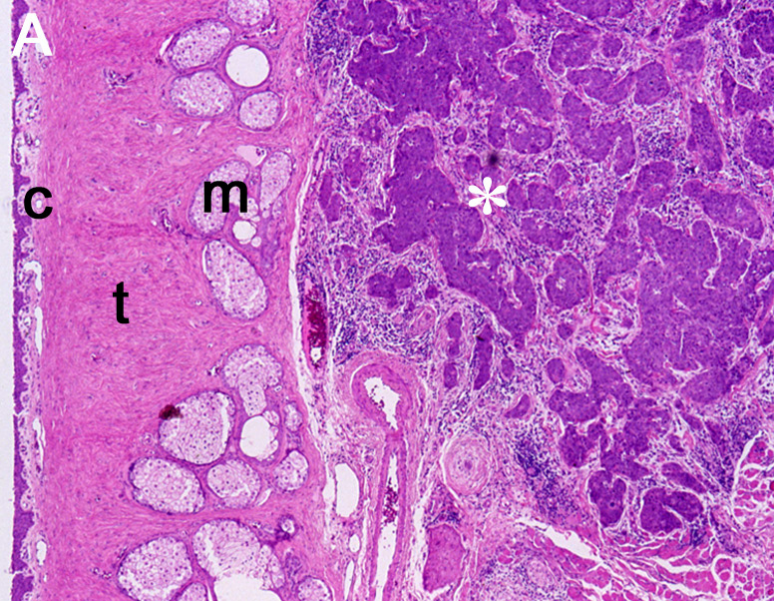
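This low-power view of the eyelid shows a thin purple epithelial lining at the left edge, then a broad band of dense pink fibrous tissue containing rounded lobules of pale, foamy glandular cells. These are the conjunctiva, the tarsus and the meibomian gland lobules. To the right, numerous irregular, dark purple, densely cellular lobules are separated by looser, paler stroma with scattered blood vessels. Skeletal muscle fibres are seen at the lower right edge. The dark lobules are tumor lobules of invasive disease spreading through the eyelid.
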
